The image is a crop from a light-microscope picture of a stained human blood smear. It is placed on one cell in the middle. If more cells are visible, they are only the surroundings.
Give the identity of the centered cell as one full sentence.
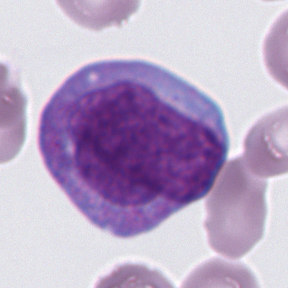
The centrally positioned cell in the crop represents an atypical promyelocyte.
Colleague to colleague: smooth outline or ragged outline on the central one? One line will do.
No projections interrupt the outline; it is smooth all the way round.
